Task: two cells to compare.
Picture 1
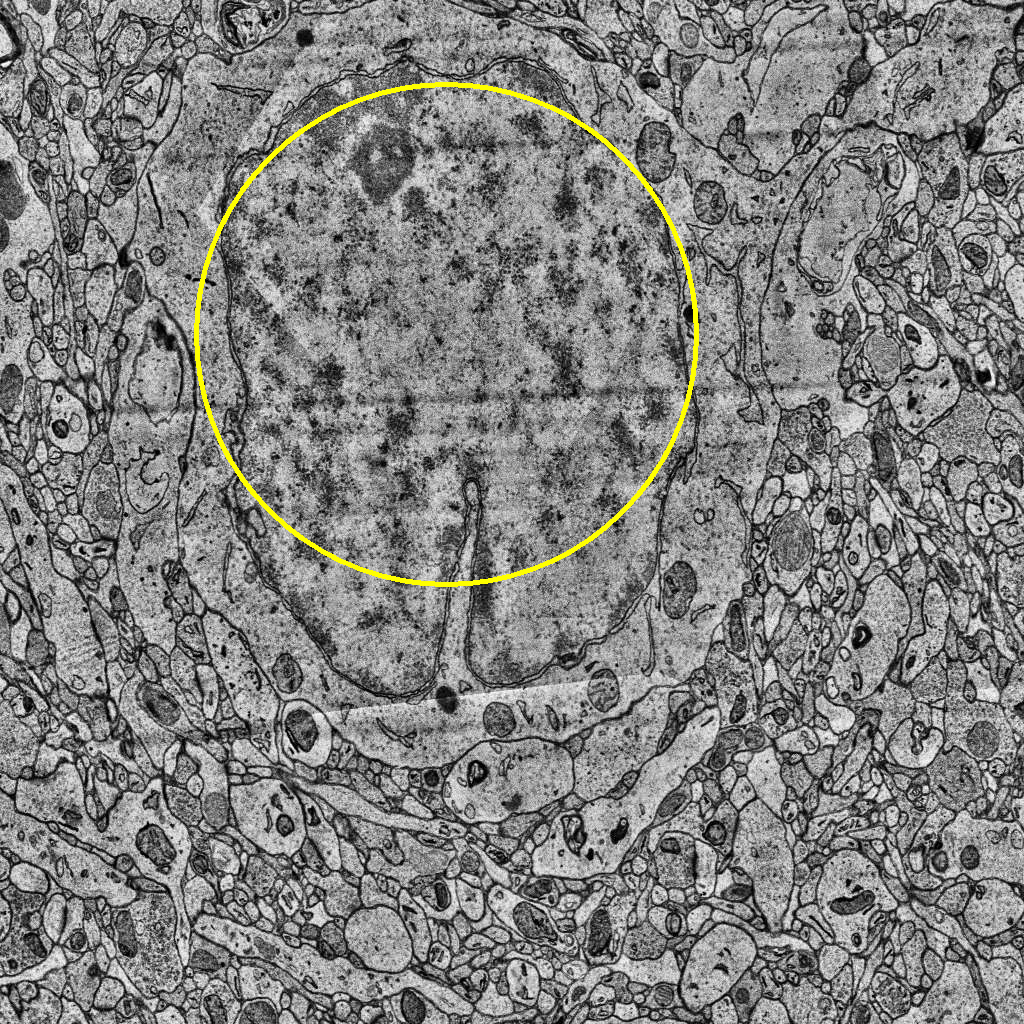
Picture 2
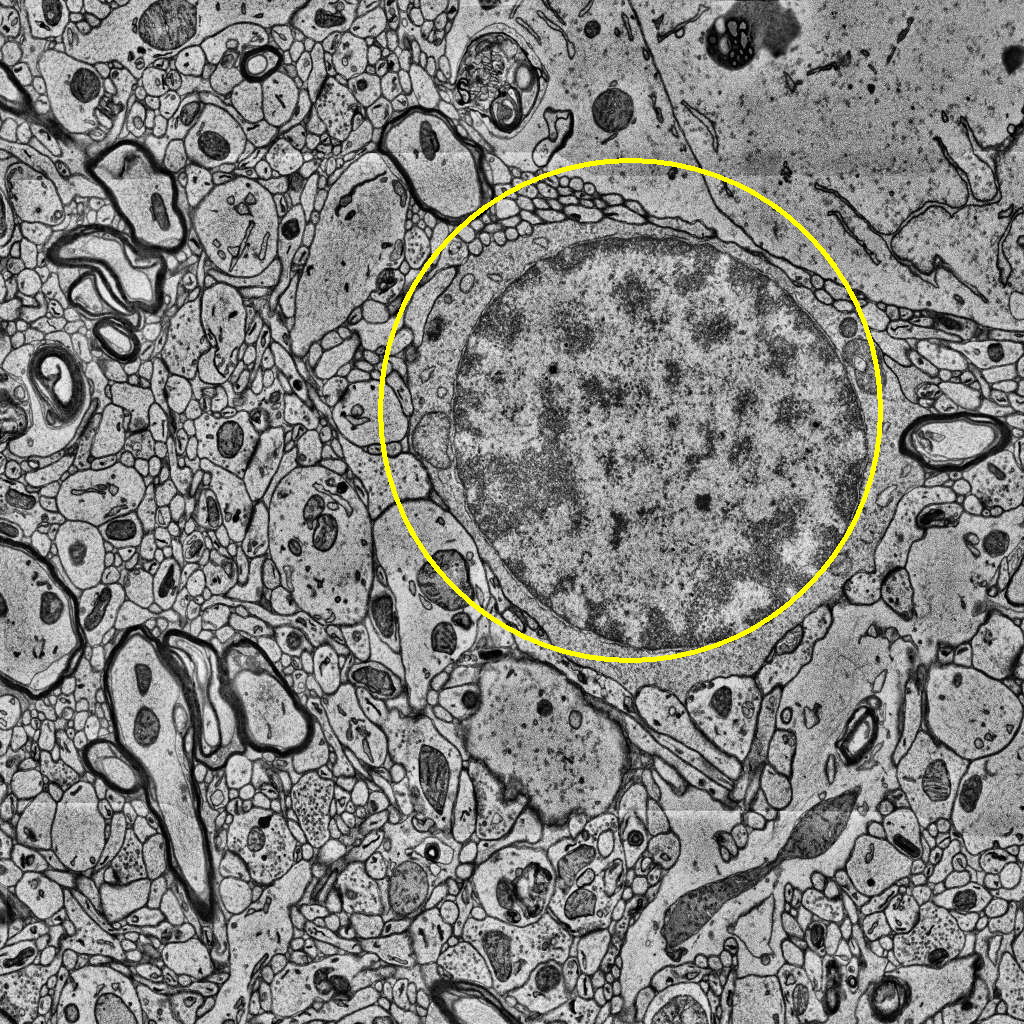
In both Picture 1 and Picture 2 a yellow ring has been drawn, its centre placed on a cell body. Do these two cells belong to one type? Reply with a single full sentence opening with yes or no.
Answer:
No, the two cells at the ring centres in Picture 1 and Picture 2 are of two types.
